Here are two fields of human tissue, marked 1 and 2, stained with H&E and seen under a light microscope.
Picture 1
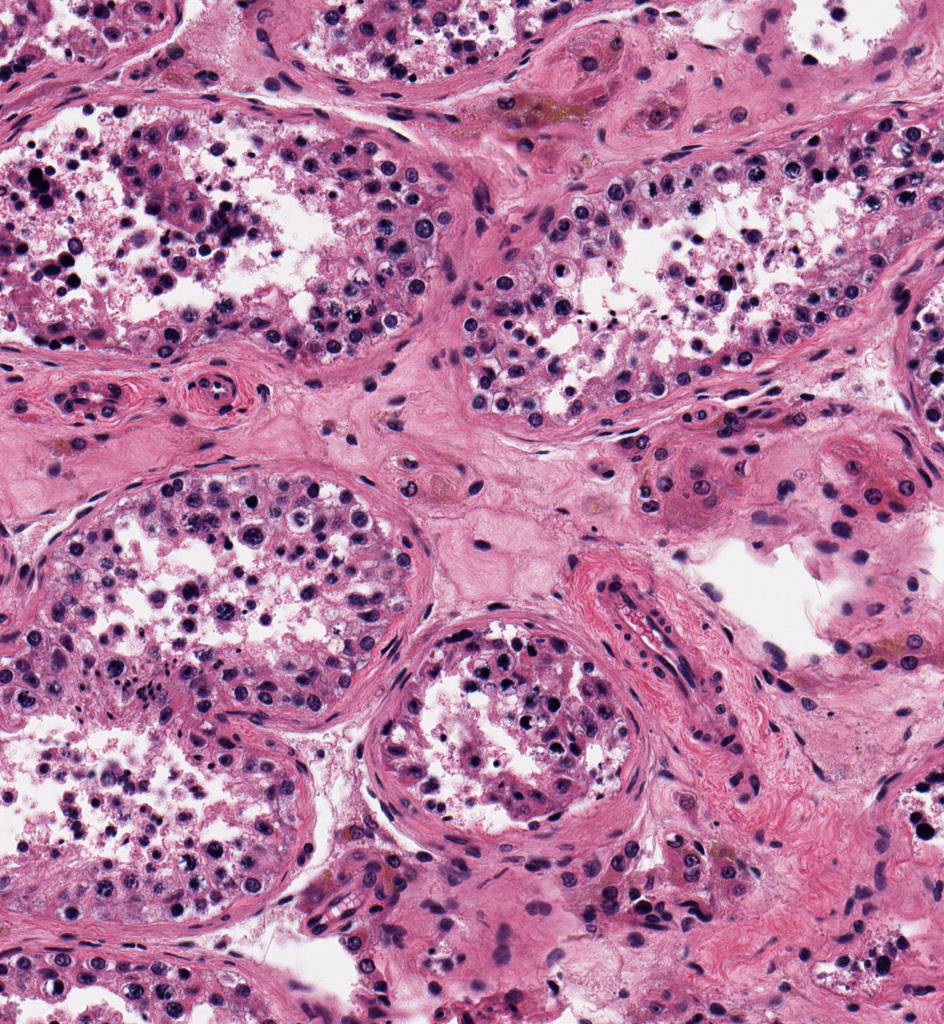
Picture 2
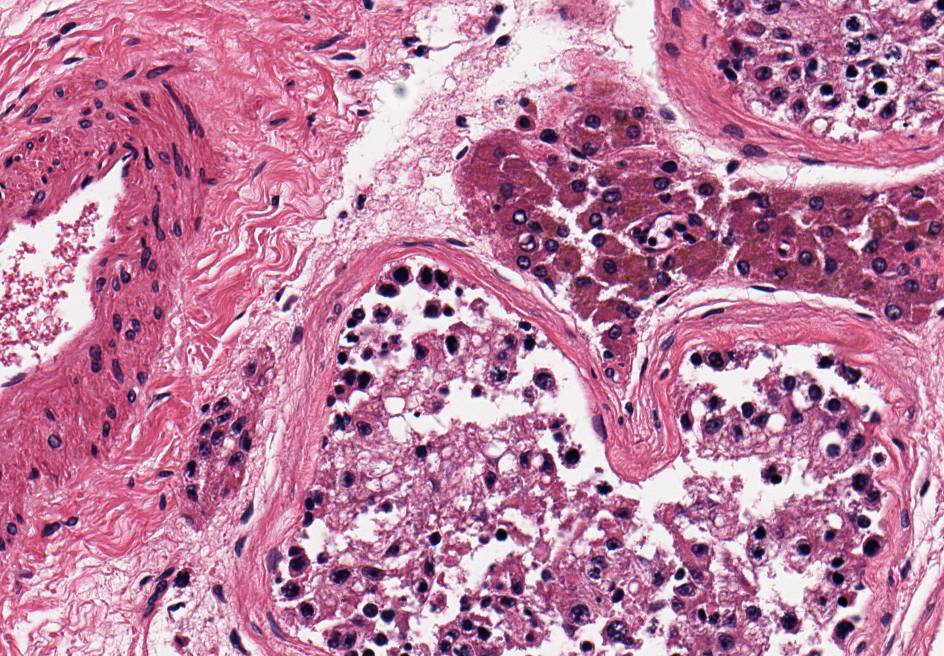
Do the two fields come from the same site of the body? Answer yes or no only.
yes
